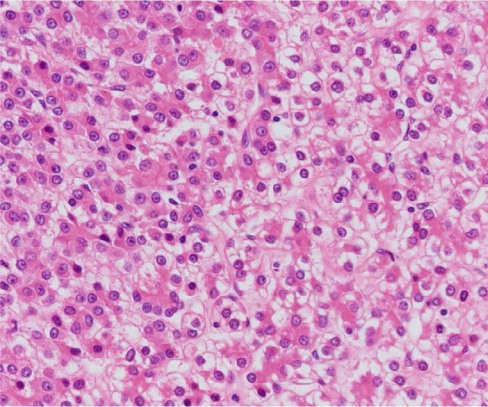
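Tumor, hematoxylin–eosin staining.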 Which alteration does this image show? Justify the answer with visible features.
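Each cell has a small round nucleus within wide cytoplasm. Cytoplasm is abundant, clear to pale pink.
Low nuclear‐to‐cytoplasmic ratio.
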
